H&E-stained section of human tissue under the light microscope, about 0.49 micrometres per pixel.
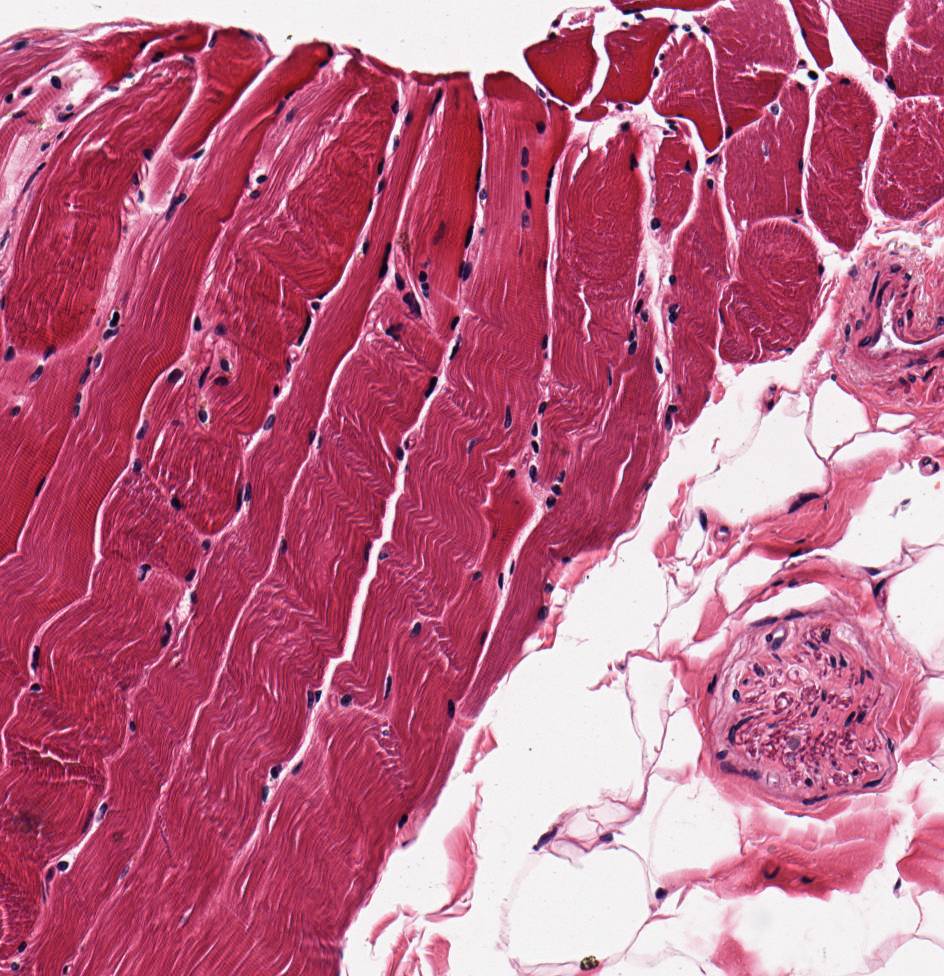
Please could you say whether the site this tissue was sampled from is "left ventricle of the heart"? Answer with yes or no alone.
no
